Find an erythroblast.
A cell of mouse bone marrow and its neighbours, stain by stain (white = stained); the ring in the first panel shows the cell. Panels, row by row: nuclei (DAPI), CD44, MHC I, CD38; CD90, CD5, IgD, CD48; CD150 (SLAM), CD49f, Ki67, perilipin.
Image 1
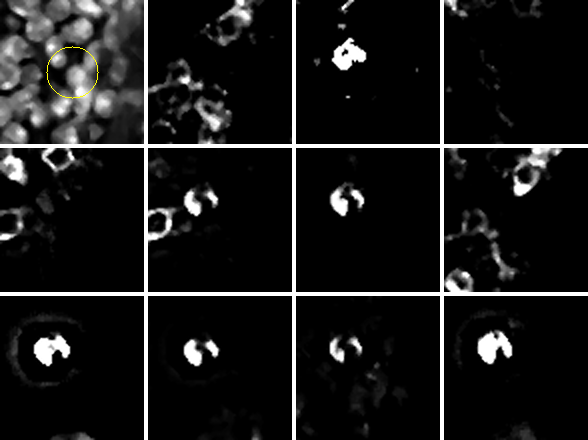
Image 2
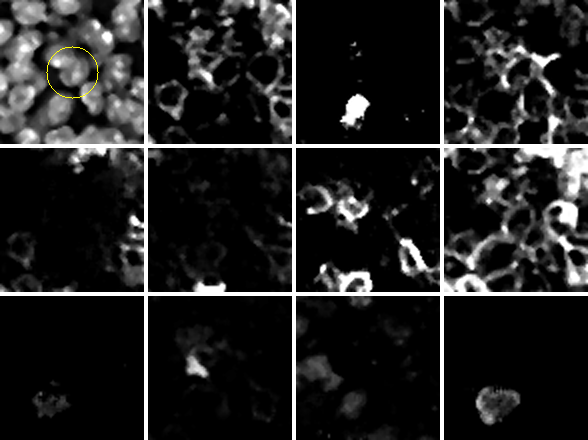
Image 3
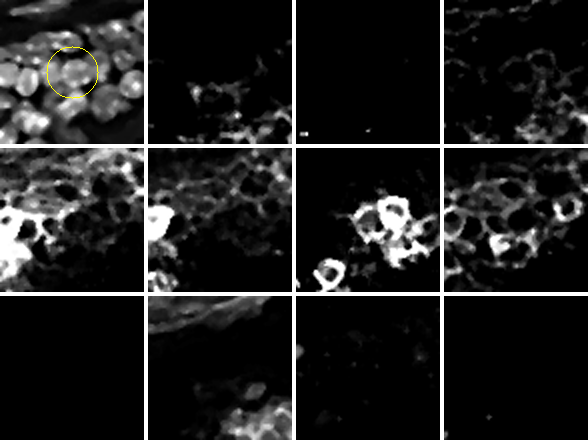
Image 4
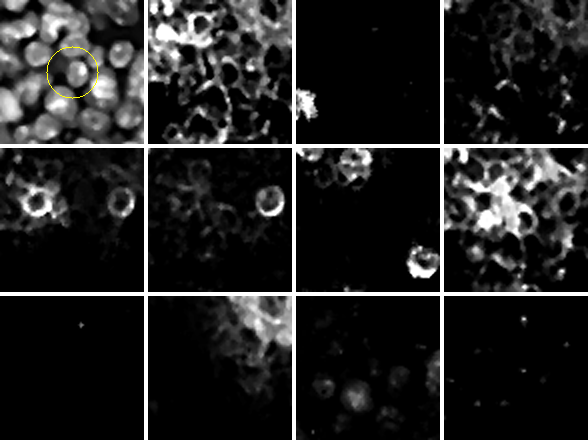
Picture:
1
